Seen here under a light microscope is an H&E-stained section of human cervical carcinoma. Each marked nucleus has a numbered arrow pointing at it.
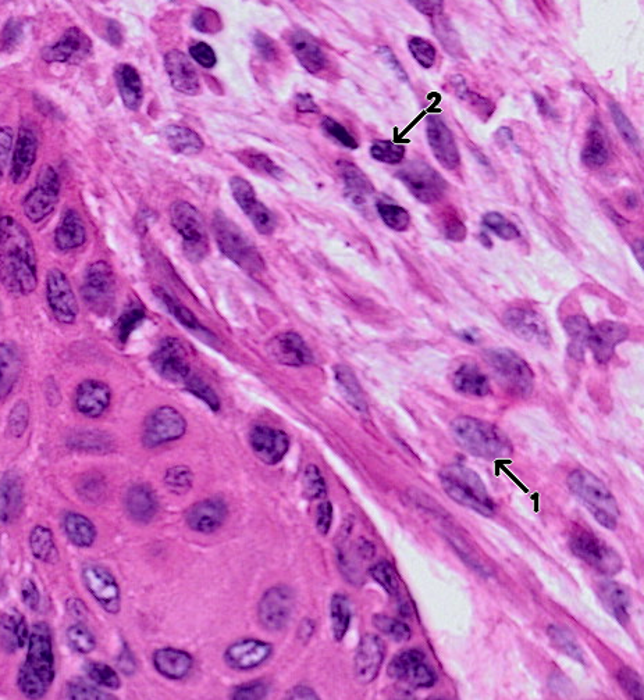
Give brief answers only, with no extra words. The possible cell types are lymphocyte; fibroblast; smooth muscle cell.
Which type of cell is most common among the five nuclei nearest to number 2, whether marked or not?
fibroblast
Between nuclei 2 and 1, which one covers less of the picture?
2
